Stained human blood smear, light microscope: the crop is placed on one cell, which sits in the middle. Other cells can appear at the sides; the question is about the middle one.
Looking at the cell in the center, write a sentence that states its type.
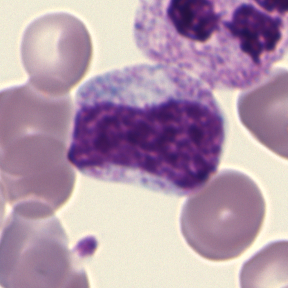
For this crop, the central cell is a metamyelocyte.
